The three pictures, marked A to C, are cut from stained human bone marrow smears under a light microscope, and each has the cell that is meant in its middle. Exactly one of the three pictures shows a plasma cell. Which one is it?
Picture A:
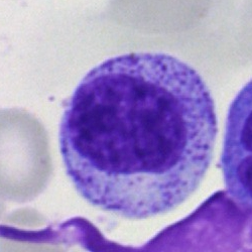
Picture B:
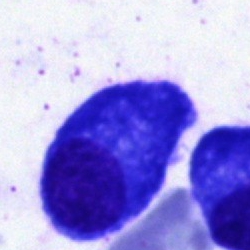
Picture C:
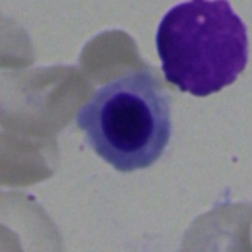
B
